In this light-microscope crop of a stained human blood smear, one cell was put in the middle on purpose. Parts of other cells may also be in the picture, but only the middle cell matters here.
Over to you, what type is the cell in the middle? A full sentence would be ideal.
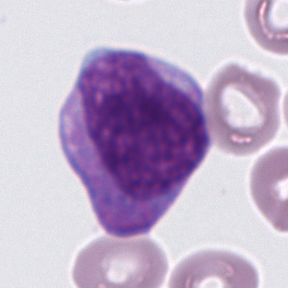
The identification for the central cell is an atypical promyelocyte.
